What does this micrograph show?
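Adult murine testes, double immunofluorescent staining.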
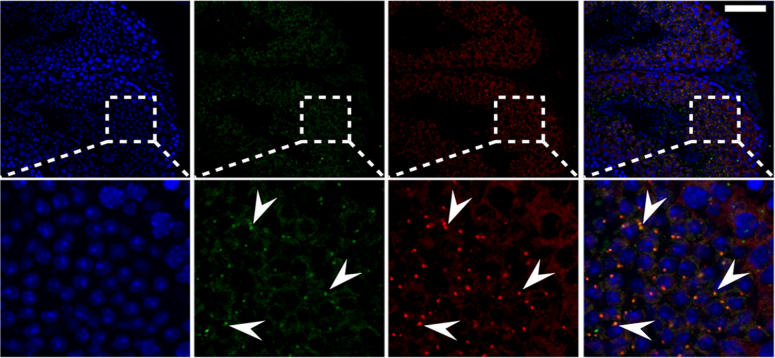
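Seminiferous tubule section with round spermatids, showing chromatoid bodies. The overview shows tubules packed with blue nuclei and faint green and red fluorescence across the epithelium. Small dots bright in both green and red lie beside the nuclei, appearing yellow-orange where they overlap in the merged view. Fine green speckles also lie scattered through the cytoplasm.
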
